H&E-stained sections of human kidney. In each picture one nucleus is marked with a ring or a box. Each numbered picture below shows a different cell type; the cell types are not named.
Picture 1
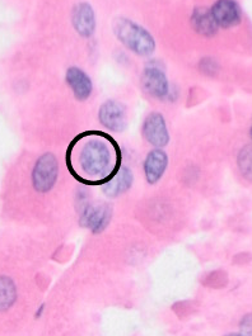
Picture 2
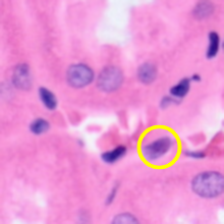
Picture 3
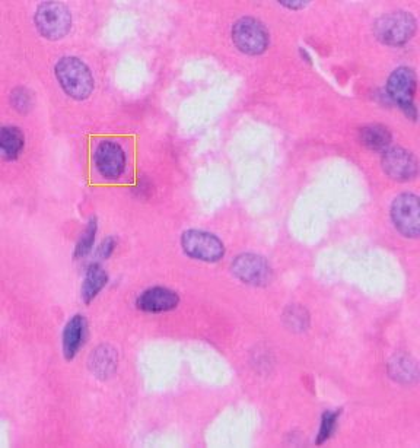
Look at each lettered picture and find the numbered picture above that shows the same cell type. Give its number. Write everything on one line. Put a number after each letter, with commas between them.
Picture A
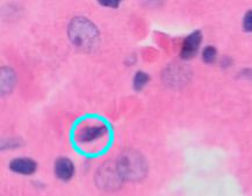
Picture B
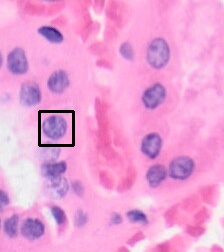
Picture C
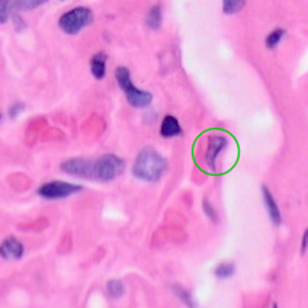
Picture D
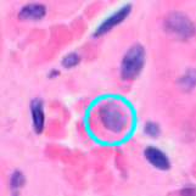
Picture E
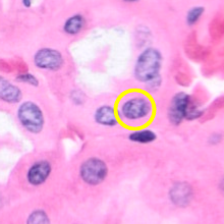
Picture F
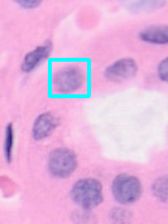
A 2, B 1, C 2, D 2, E 1, F 1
